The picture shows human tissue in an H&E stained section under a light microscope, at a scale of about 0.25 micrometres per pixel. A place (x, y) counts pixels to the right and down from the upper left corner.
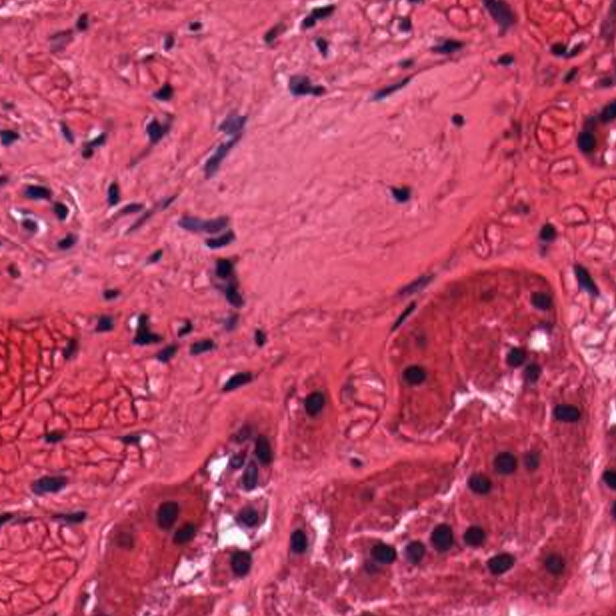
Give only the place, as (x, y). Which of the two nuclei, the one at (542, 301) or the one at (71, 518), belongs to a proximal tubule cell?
(542, 301)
